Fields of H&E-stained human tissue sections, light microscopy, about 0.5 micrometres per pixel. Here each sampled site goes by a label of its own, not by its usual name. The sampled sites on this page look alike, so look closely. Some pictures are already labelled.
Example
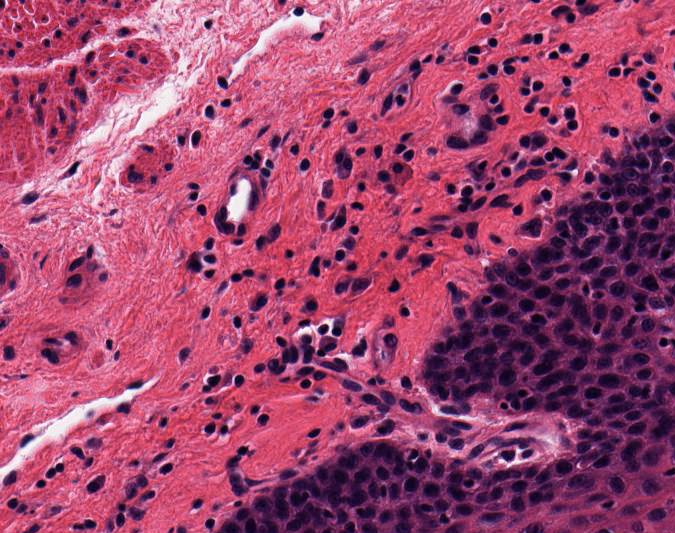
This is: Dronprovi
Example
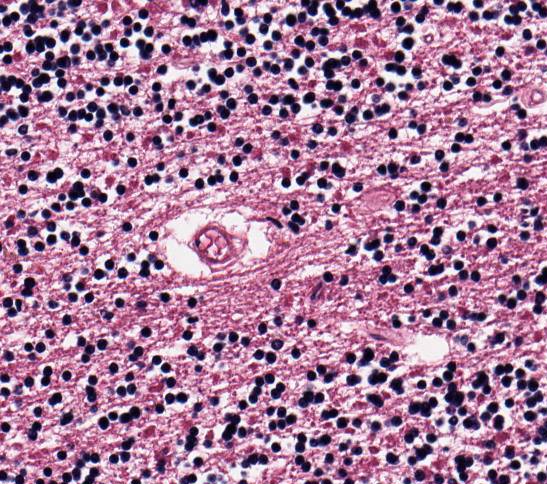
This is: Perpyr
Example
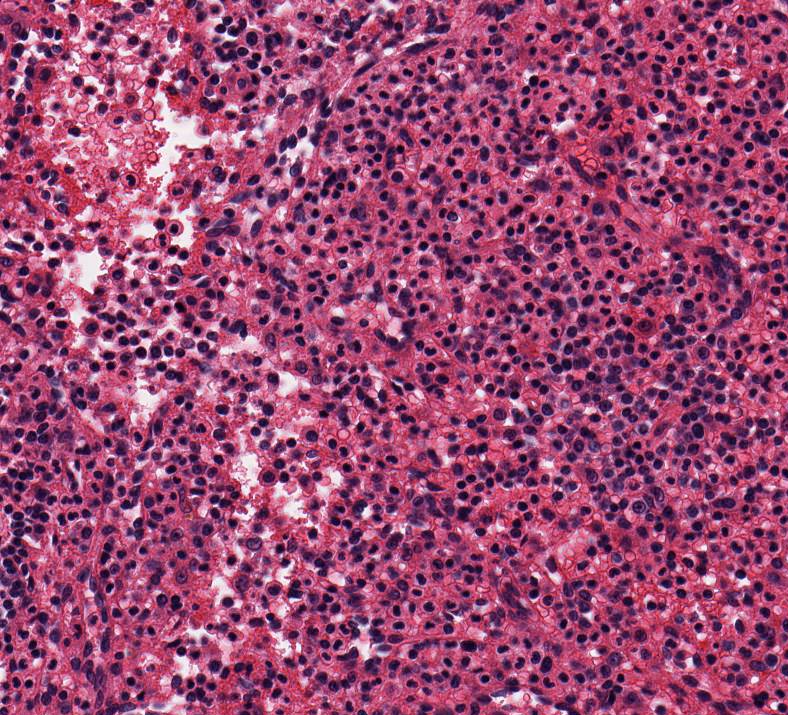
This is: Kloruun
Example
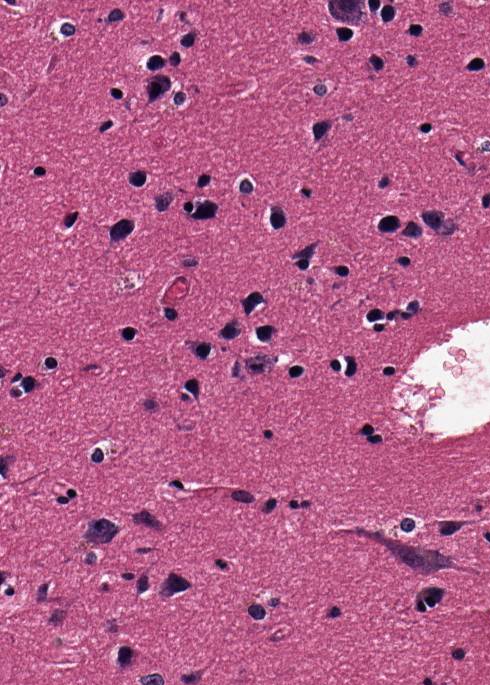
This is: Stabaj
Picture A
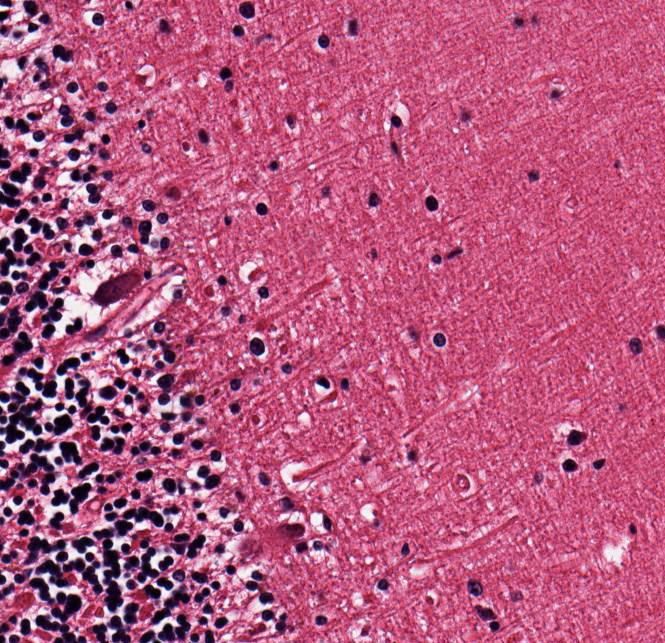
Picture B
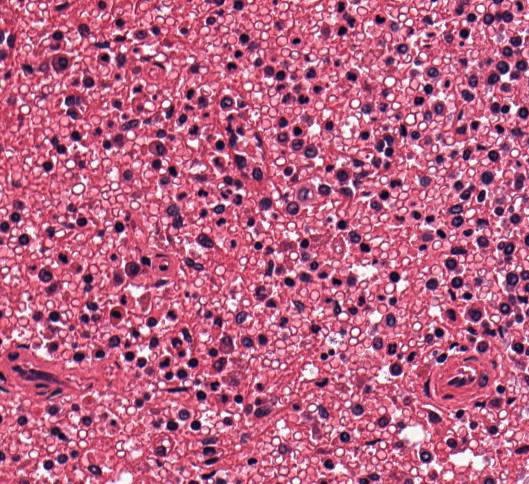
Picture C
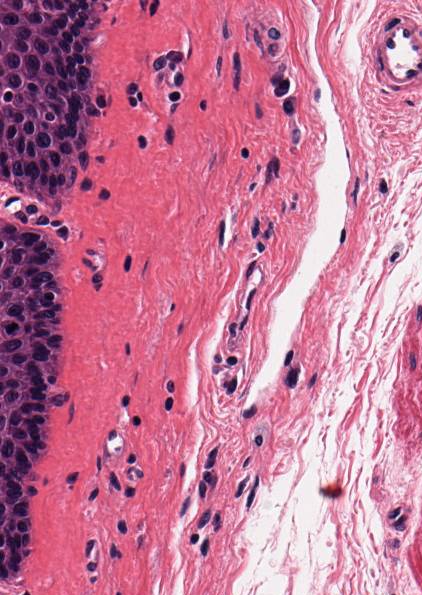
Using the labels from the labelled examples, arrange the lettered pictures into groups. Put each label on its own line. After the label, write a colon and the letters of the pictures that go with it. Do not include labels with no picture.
Dronprovi: C
Perpyr: A
Kloruun: B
